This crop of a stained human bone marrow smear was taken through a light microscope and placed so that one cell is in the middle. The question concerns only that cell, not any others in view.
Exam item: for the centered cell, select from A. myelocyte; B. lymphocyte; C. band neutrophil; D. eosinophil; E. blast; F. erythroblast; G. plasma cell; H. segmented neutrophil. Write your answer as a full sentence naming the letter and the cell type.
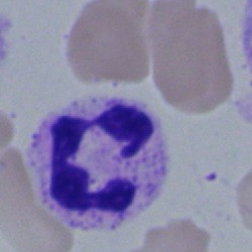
The cell in the middle is a segmented neutrophil, and that makes option H correct.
